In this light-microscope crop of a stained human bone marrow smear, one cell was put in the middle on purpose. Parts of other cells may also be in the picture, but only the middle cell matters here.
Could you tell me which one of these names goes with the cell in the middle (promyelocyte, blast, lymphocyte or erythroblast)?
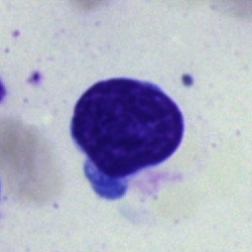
lymphocyte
